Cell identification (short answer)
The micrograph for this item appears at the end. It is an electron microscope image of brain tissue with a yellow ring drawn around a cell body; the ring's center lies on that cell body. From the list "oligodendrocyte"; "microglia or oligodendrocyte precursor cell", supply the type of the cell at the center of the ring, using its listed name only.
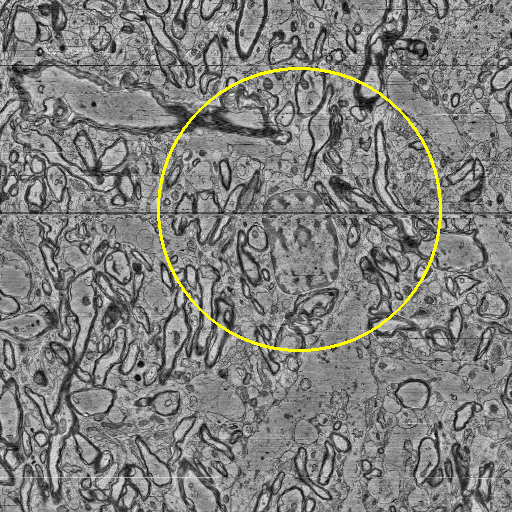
microglia or oligodendrocyte precursor cell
